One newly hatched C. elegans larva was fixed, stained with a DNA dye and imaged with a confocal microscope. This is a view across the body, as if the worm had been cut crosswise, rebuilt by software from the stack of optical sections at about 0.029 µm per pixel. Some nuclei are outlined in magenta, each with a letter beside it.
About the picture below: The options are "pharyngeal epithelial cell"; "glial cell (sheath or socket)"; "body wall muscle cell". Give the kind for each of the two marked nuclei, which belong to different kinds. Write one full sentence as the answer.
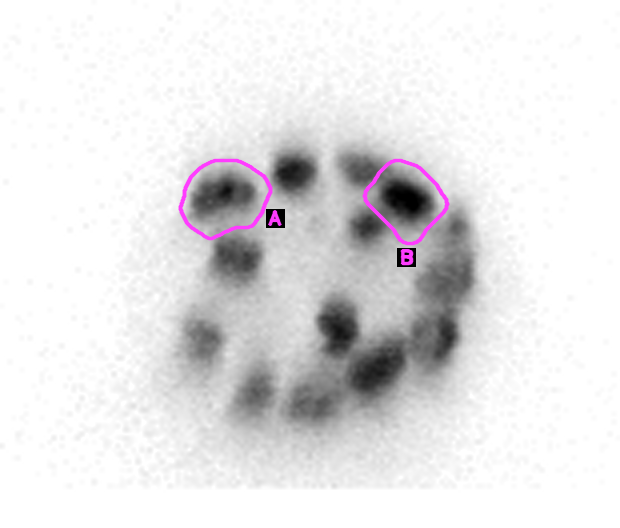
A is from a body wall muscle cell, and B is from a glial cell (sheath or socket).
